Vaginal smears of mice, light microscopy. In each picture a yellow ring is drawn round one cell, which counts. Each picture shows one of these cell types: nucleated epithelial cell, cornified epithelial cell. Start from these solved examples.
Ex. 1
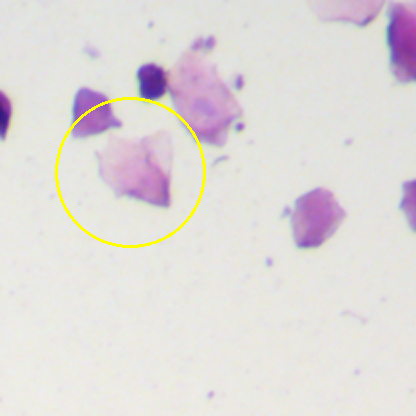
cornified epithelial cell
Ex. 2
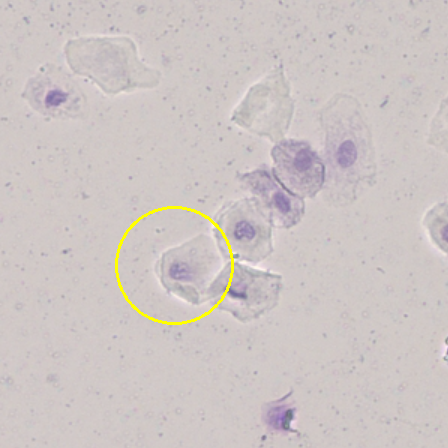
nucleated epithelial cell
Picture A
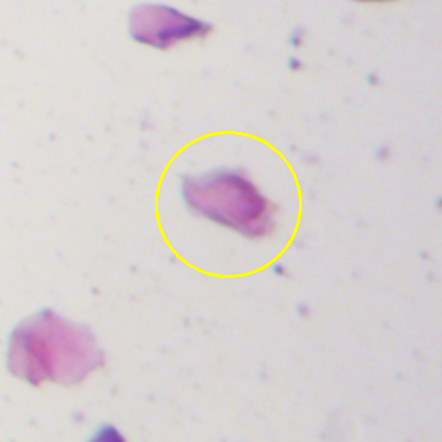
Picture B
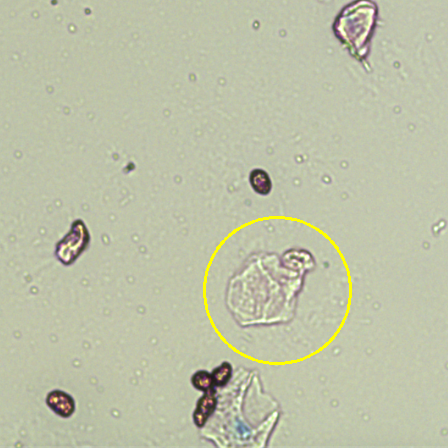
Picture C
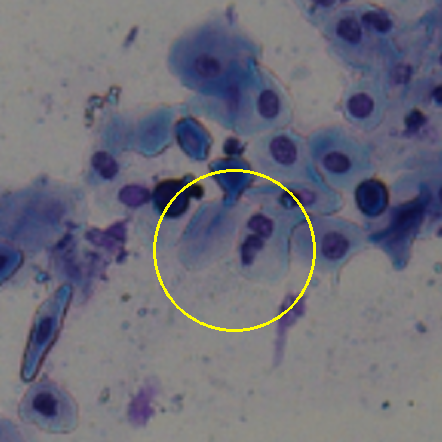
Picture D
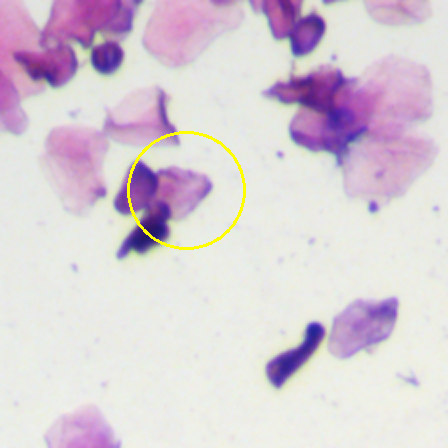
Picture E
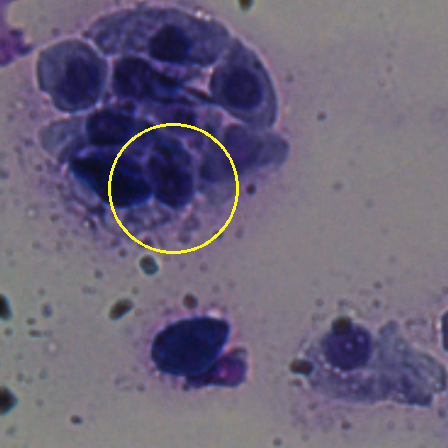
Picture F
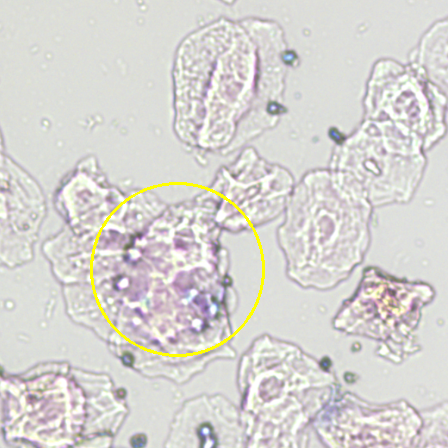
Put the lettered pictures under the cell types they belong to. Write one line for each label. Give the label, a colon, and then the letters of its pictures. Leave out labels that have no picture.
nucleated epithelial cell: C, E
cornified epithelial cell: A, B, D, F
